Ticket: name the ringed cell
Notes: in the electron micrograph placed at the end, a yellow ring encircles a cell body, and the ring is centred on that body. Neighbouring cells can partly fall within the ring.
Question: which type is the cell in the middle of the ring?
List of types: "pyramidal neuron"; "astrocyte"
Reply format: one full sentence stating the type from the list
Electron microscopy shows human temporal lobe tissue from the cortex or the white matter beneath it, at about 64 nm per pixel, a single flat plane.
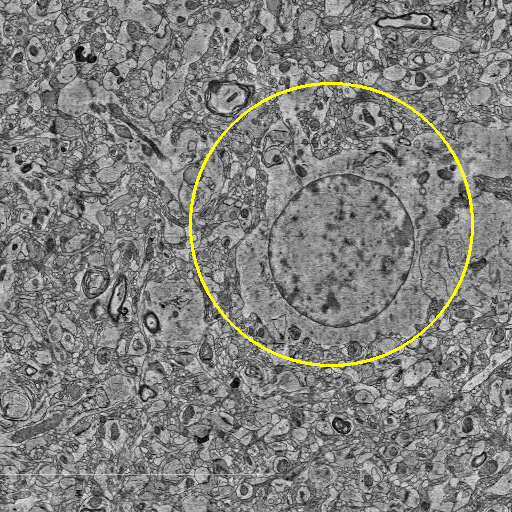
The cell sitting at the centre of the yellow ring is an astrocyte.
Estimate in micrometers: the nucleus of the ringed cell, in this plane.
Roughly 10 micrometers across, in this plane.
